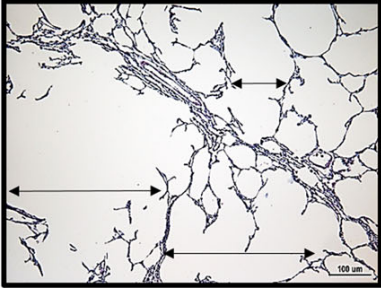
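This is lung parenchyma in which the alveolar spaces are markedly enlarged, forming wide open airspaces instead of the usual small alveoli. The alveolar walls are thin purple strands, many broken and ending freely. A band of denser, more cellular tissue crosses the field diagonally between the enlarged spaces.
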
